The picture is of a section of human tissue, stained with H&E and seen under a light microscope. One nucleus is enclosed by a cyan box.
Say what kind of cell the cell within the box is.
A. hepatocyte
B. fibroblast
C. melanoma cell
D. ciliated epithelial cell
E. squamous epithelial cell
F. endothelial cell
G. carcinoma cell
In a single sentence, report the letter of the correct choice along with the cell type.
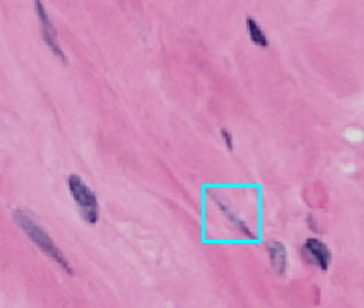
Hey, it is option B: the cell within the box is a fibroblast.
